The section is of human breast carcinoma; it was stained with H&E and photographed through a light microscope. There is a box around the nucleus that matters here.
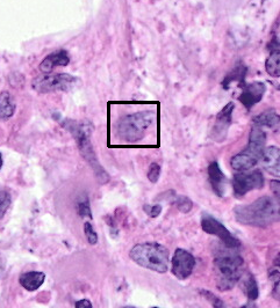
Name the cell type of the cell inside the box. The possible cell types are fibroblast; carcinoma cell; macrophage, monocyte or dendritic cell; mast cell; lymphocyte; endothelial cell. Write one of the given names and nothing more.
macrophage, monocyte or dendritic cell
